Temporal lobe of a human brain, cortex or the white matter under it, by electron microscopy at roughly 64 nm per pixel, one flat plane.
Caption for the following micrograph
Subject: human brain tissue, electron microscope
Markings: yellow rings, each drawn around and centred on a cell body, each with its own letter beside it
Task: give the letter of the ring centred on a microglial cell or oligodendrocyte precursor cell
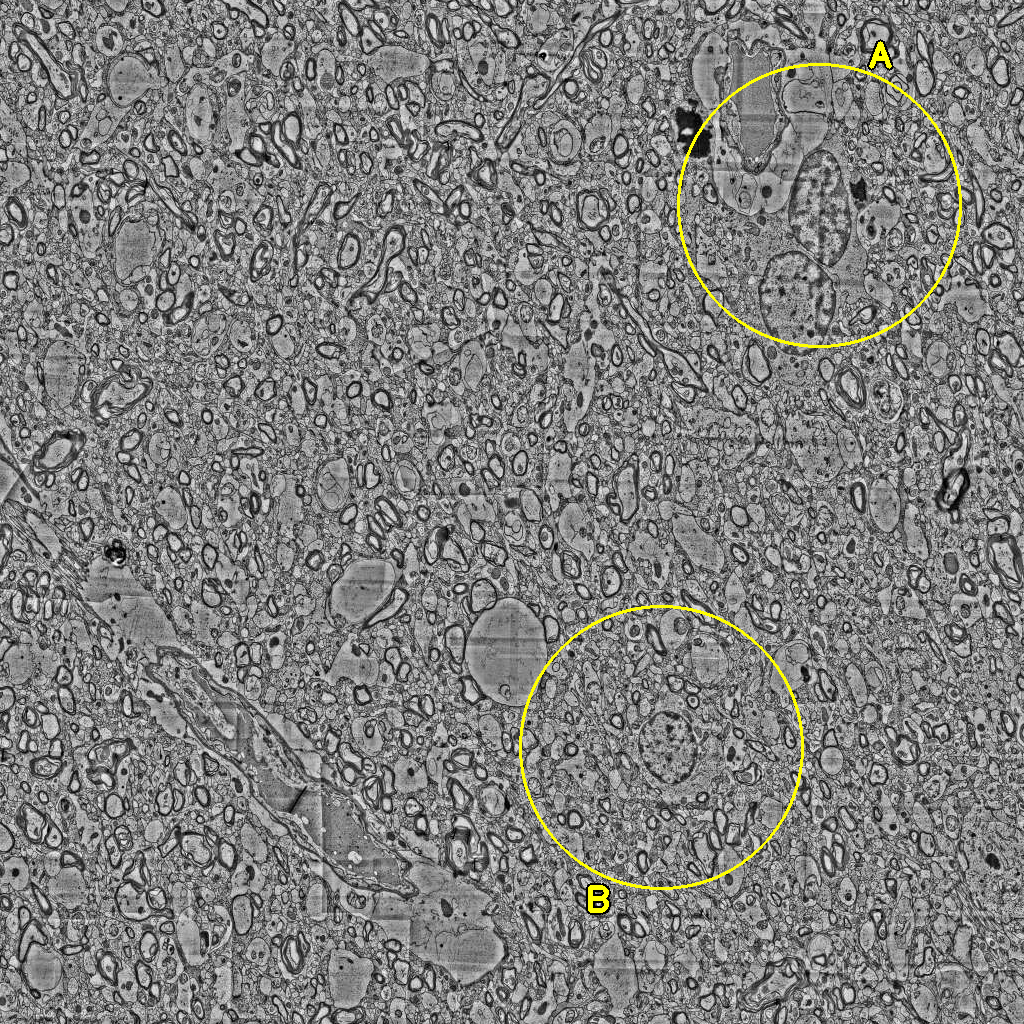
B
